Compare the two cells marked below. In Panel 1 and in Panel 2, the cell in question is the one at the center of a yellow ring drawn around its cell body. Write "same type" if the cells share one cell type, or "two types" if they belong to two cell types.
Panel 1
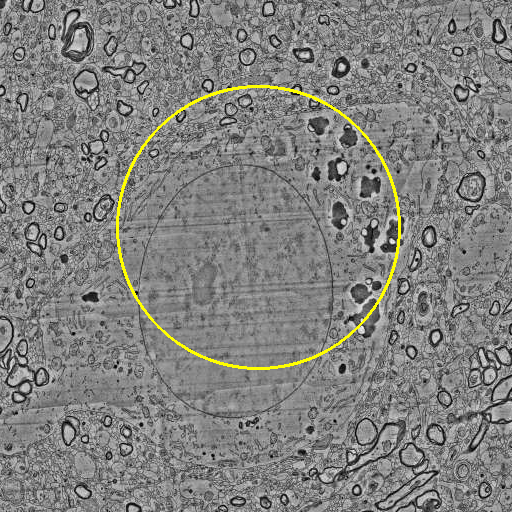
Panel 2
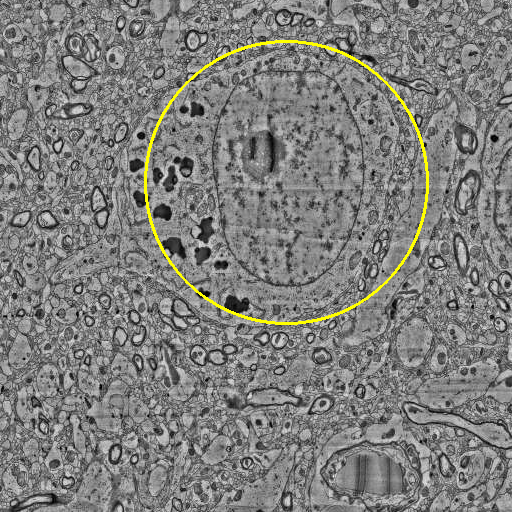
same type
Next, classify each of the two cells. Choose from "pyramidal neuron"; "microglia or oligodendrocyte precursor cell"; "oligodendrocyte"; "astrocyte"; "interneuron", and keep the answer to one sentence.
Both pictures show a pyramidal neuron at the centre of the ring.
